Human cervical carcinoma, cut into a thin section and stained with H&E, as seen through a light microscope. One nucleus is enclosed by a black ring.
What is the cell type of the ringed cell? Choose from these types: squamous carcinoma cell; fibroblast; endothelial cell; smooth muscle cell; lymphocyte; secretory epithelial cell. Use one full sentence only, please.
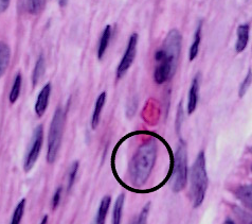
It is an endothelial cell that the ringed cell represents.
